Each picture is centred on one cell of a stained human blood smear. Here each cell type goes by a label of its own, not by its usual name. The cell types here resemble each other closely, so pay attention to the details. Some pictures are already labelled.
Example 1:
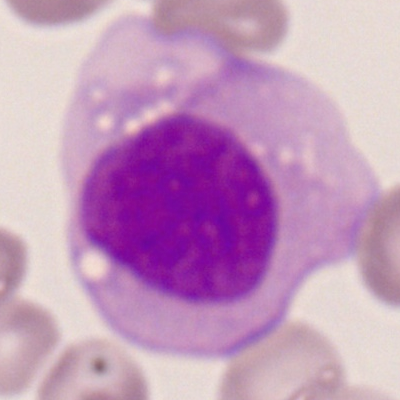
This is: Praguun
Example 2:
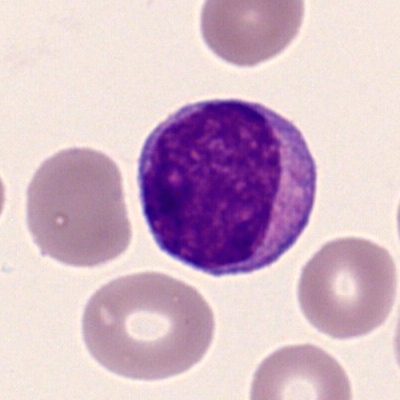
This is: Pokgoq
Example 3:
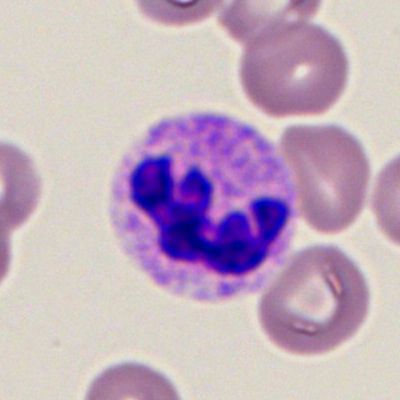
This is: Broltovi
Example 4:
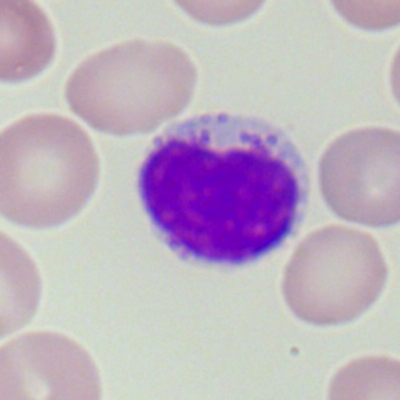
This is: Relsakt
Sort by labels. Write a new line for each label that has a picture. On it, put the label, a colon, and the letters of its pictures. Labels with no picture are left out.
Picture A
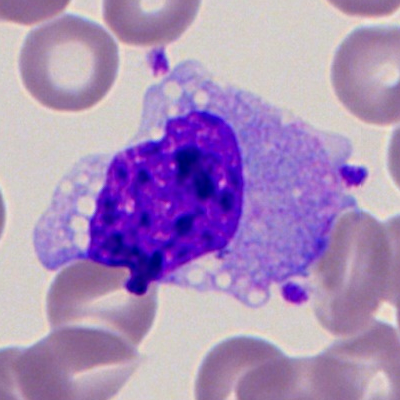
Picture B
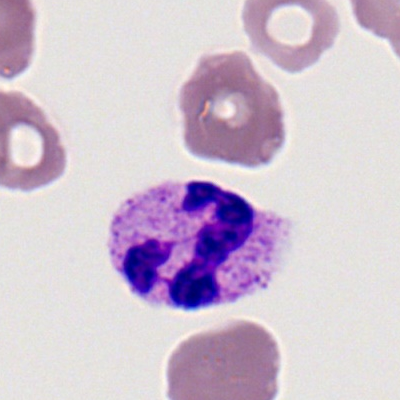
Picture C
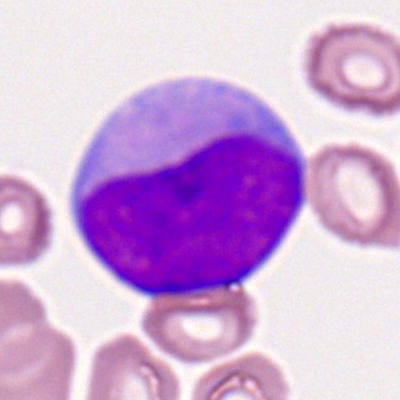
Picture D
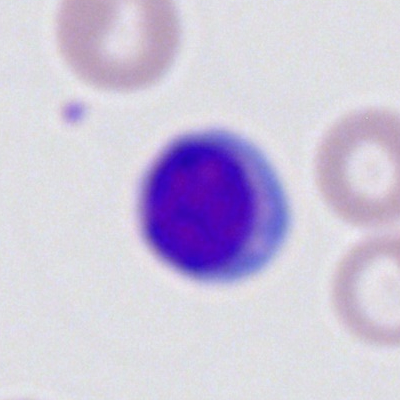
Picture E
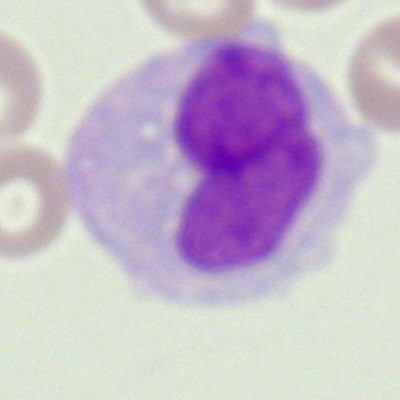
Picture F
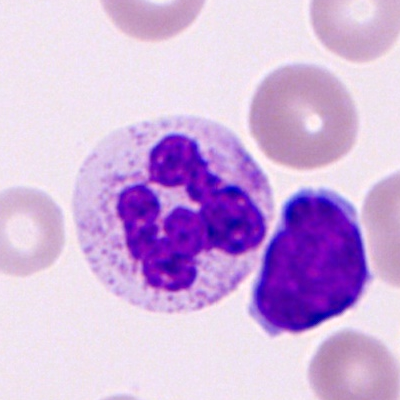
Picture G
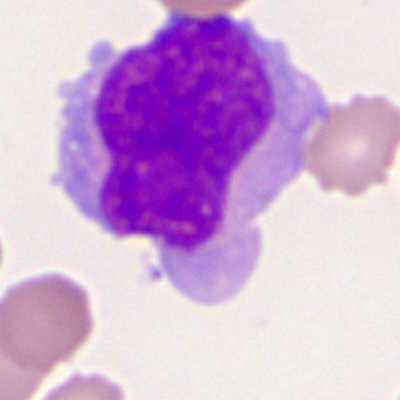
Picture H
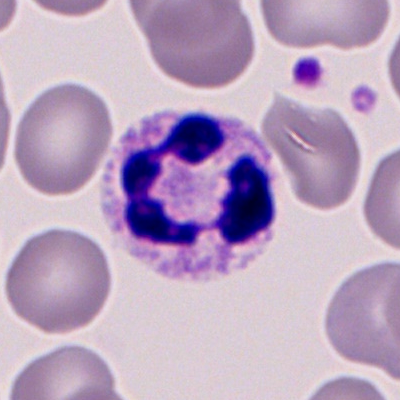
Praguun: A, E, G
Pokgoq: C
Broltovi: B, F, H
Relsakt: D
